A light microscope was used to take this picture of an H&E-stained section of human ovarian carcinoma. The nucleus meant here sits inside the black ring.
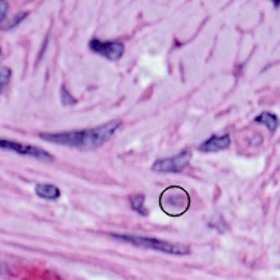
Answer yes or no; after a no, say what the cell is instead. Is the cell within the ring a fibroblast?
Yes.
